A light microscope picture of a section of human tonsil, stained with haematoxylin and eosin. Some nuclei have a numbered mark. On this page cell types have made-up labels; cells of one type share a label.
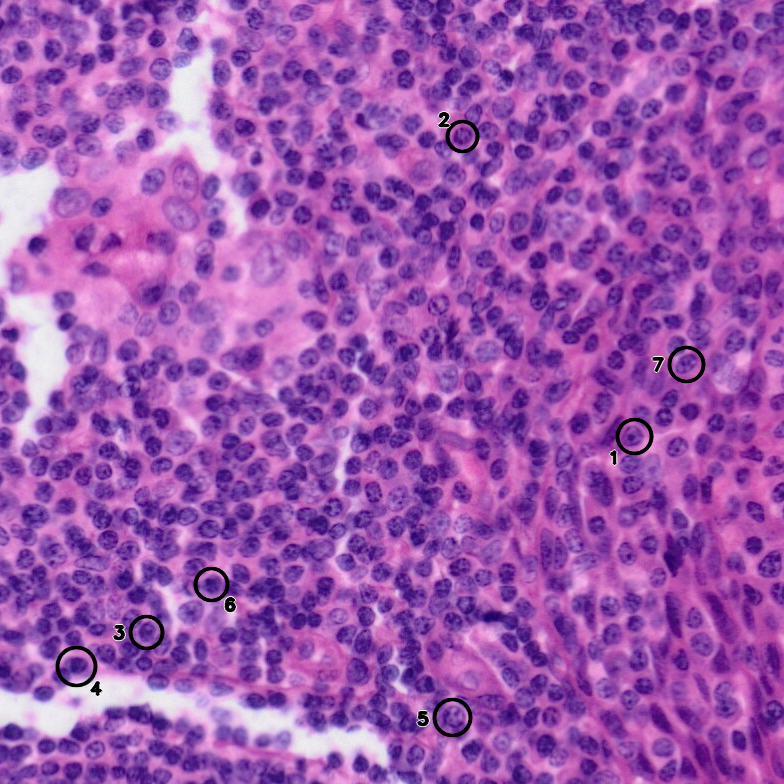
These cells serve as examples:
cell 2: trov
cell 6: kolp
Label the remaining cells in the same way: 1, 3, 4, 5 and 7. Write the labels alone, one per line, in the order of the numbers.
trov
kolp
kolp
trov
trov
